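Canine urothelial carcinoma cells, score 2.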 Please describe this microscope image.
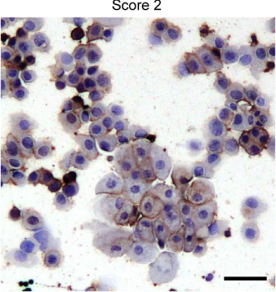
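Most cells are round with blue nuclei and bluish-grey cytoplasm, while a few scattered cells are deeply dark brown throughout. In the centre a cohesive group of larger, polygonal cells with ample pale cytoplasm shows brown lines along parts of their borders, but the rim is not complete around every cell.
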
